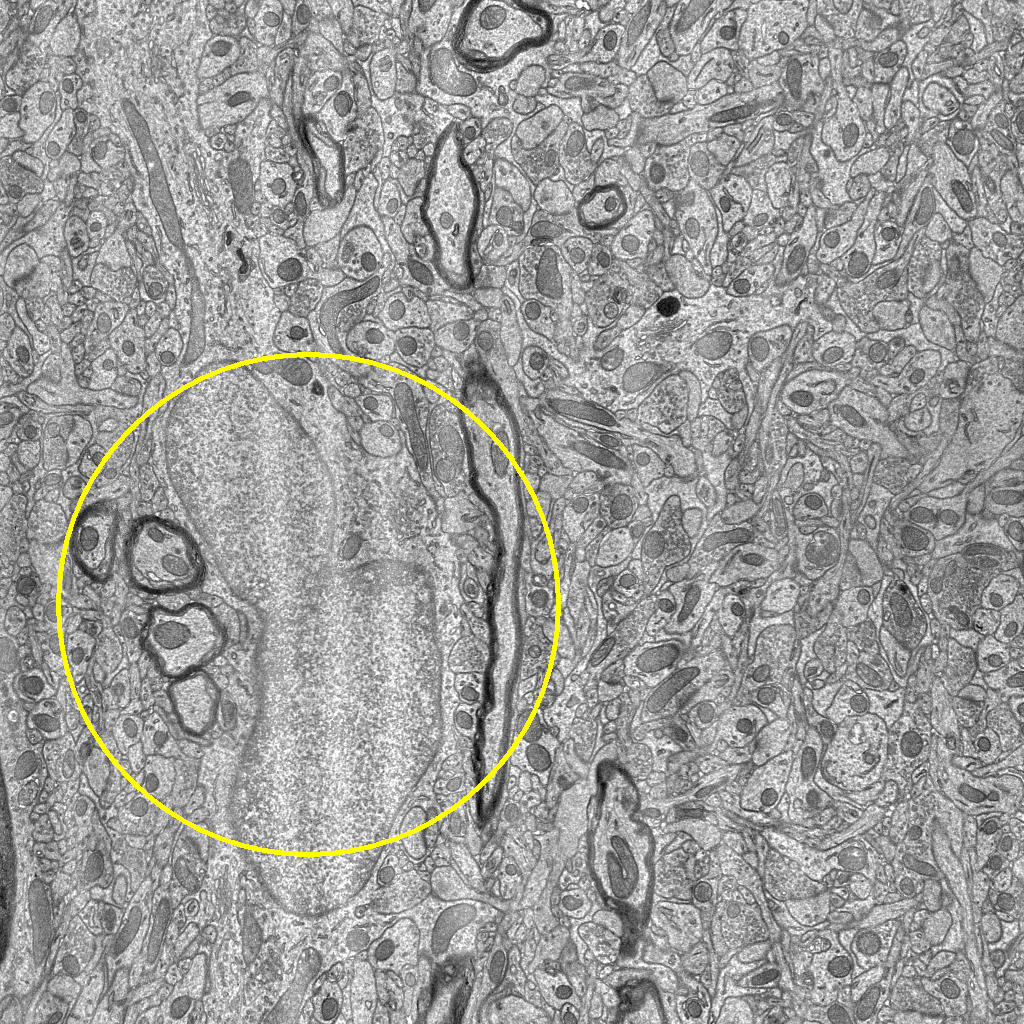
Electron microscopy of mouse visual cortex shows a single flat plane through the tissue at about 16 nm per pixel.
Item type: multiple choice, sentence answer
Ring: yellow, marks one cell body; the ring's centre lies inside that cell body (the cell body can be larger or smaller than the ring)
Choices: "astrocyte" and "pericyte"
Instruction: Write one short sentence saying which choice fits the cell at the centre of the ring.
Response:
The centre of this ring lies on an astrocyte.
